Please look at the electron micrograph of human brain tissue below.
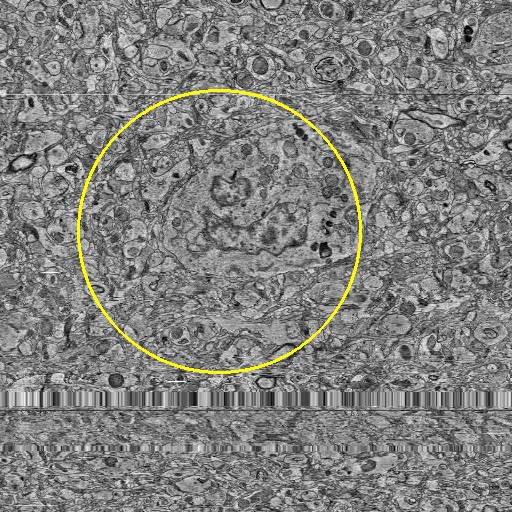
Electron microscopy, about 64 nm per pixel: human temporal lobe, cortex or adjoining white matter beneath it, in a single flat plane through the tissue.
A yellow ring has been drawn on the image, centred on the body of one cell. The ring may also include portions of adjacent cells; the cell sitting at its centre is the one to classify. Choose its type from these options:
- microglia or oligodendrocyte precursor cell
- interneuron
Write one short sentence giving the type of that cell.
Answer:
The cell in the middle of the ring is an interneuron.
